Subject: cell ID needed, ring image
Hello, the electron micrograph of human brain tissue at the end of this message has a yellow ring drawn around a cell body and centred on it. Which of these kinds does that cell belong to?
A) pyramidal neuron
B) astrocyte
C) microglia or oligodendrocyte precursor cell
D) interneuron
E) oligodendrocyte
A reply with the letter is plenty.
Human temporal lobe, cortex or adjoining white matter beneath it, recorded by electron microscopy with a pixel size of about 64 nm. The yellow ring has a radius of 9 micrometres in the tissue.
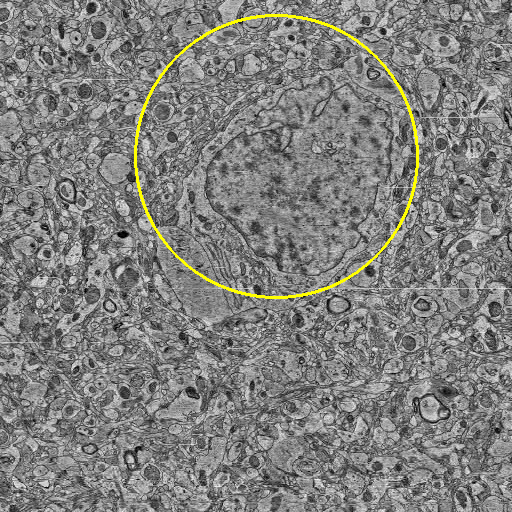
D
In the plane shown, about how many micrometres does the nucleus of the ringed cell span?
The nucleus is about 12 micrometres across in this plane.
